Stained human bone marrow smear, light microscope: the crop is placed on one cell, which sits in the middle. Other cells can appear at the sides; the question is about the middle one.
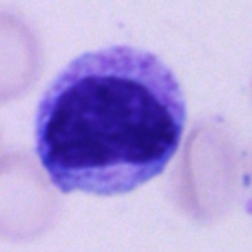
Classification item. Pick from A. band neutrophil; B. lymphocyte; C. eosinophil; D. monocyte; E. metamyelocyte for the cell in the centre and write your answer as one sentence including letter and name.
Option E is correct, naming the cell in the middle as a metamyelocyte.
